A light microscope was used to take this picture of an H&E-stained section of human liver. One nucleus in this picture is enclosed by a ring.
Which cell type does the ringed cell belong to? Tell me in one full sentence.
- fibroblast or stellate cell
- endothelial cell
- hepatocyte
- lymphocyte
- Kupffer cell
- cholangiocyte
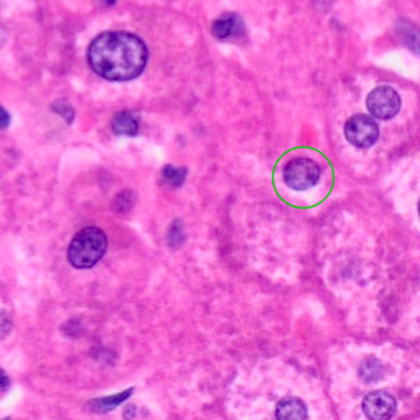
At the level of cell identity, the ringed cell is a hepatocyte.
